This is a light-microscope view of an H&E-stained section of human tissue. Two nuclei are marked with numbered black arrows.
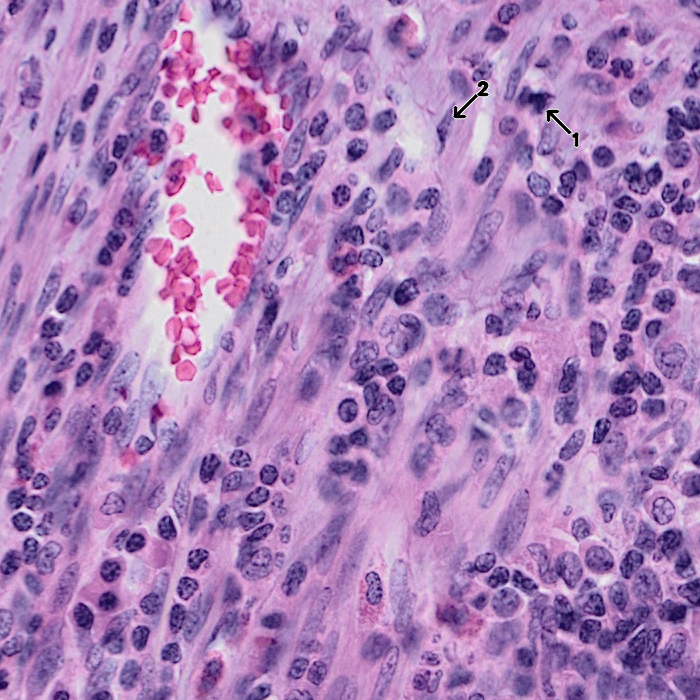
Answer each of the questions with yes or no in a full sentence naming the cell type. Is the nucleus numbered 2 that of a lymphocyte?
No, in terms of cell type, cell 2 is a fibroblast, not a lymphocyte.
